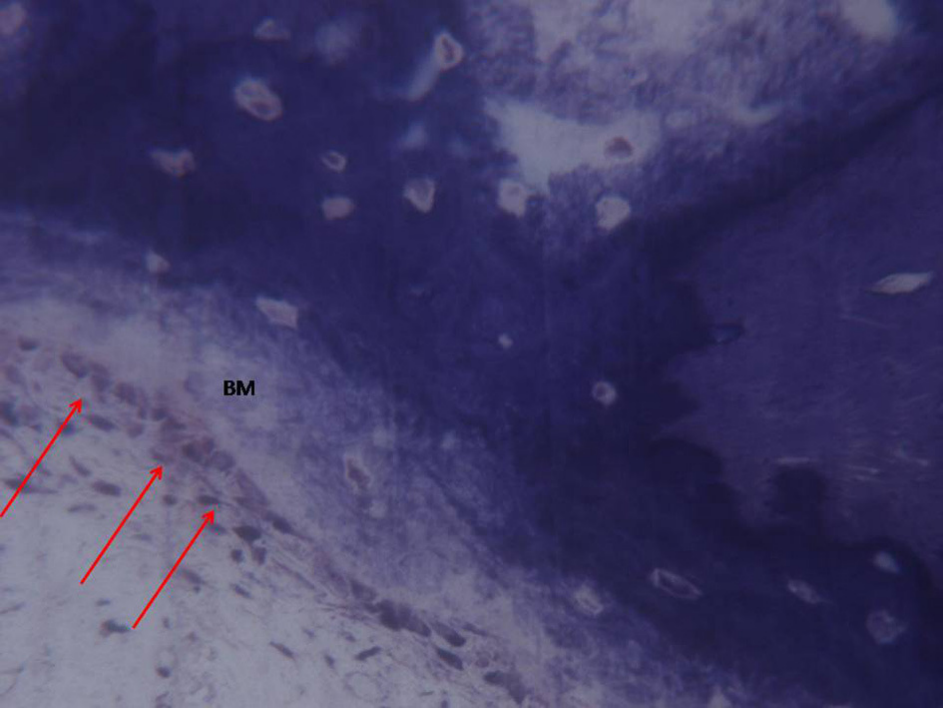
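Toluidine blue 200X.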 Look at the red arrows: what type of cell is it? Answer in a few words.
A: Osteoblasts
